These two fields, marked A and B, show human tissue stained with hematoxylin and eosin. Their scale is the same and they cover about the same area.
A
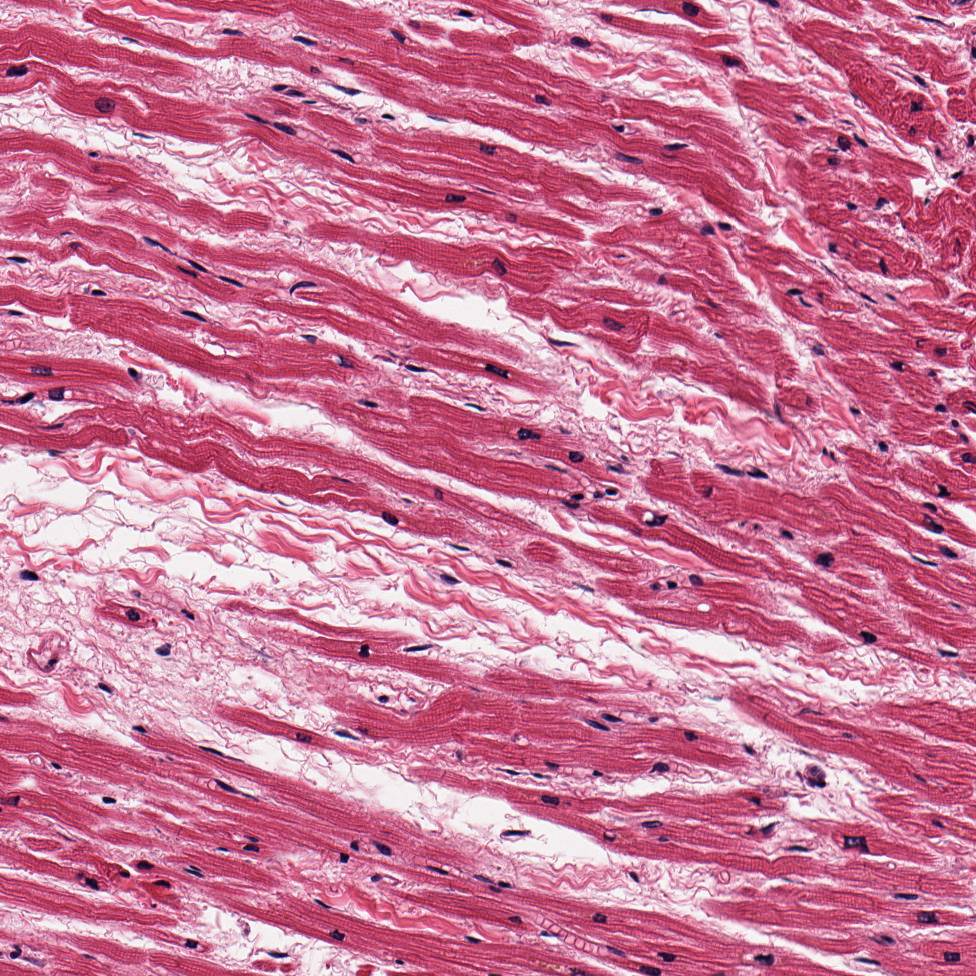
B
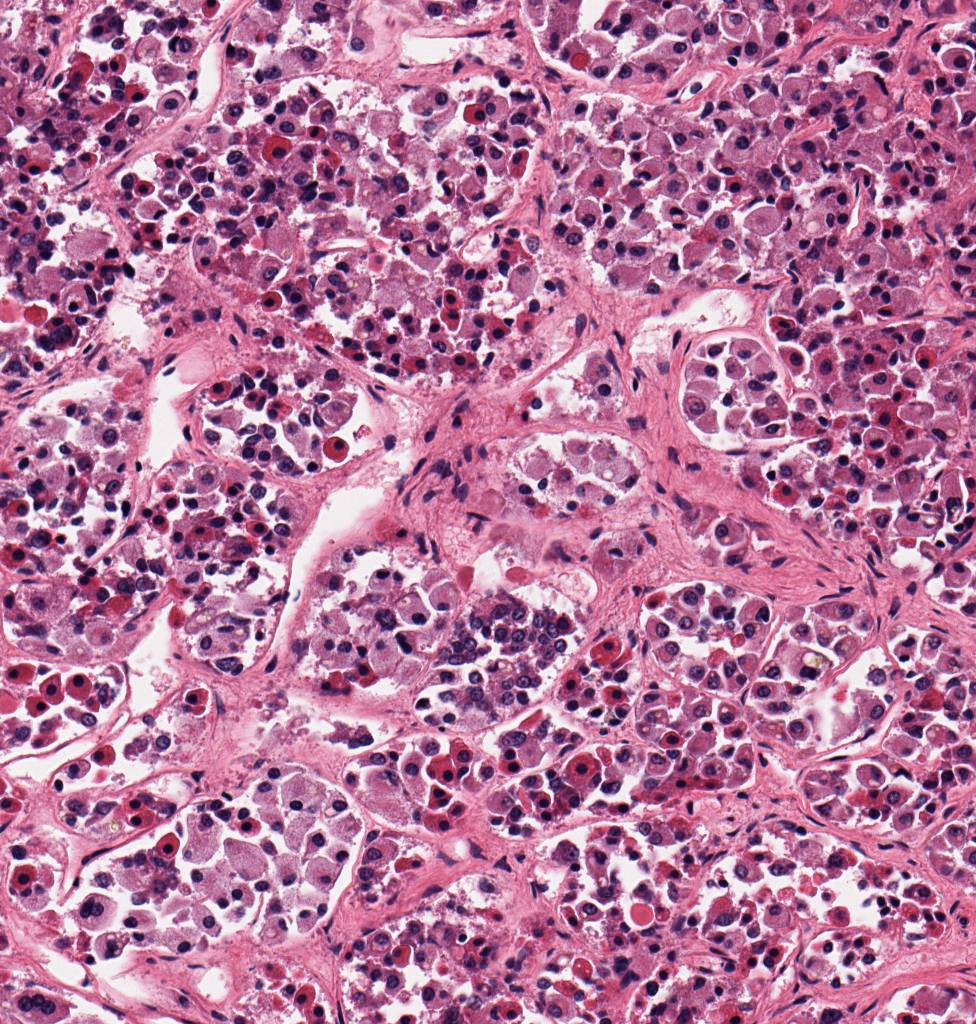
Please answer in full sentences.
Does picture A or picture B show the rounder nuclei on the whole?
Rounder nuclei lie in picture B.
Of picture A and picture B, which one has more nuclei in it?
There are more nuclei in picture B.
